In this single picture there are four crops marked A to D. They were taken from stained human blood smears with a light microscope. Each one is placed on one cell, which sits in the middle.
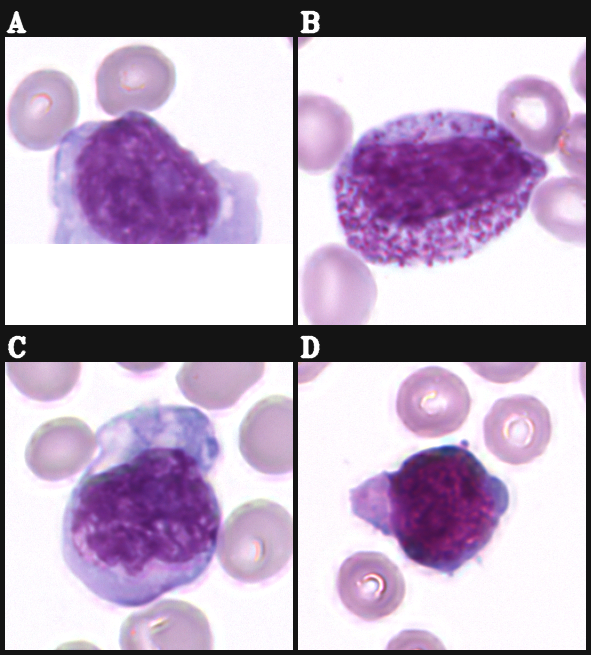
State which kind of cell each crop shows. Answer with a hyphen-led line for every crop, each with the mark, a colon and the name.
- A: plasma cell
- B: myelocyte
- C: plasma cell
- D: atypical promyelocyte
